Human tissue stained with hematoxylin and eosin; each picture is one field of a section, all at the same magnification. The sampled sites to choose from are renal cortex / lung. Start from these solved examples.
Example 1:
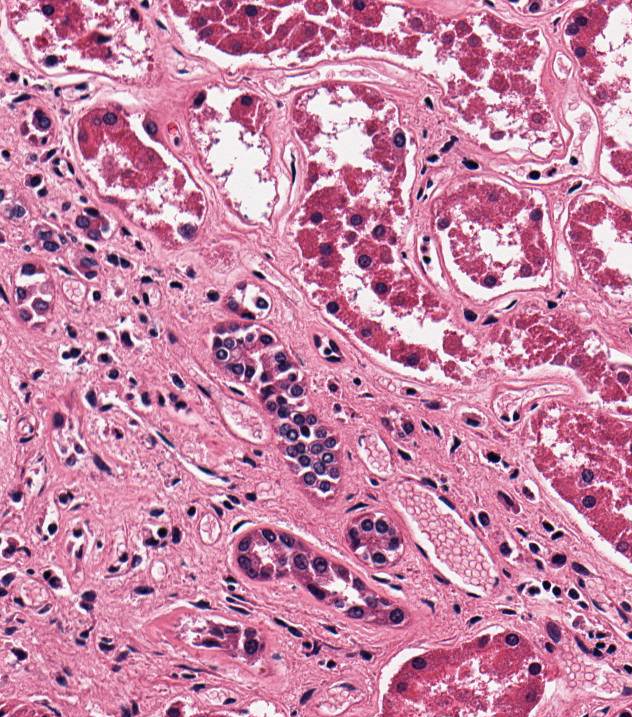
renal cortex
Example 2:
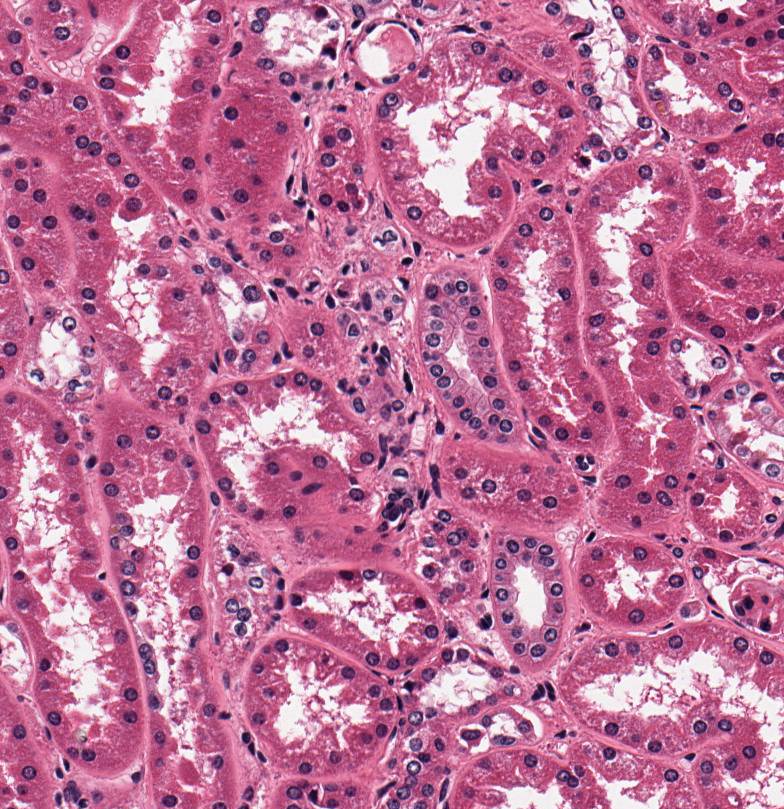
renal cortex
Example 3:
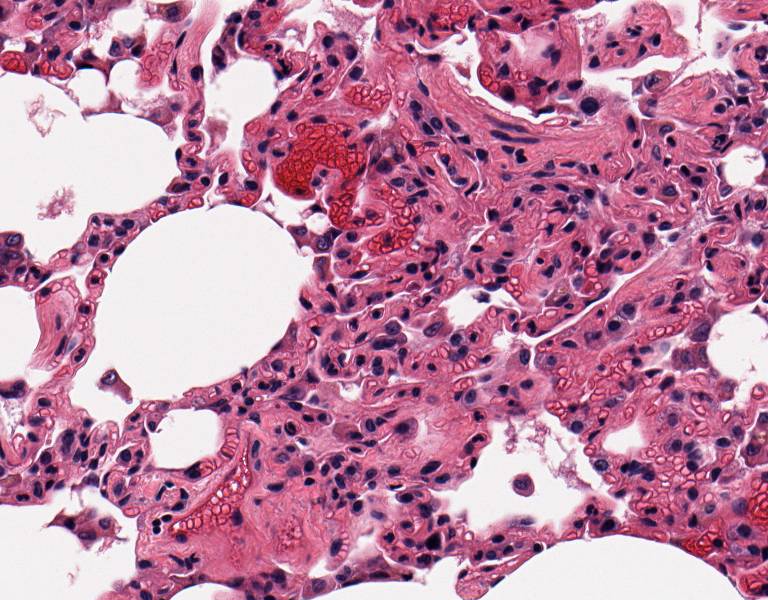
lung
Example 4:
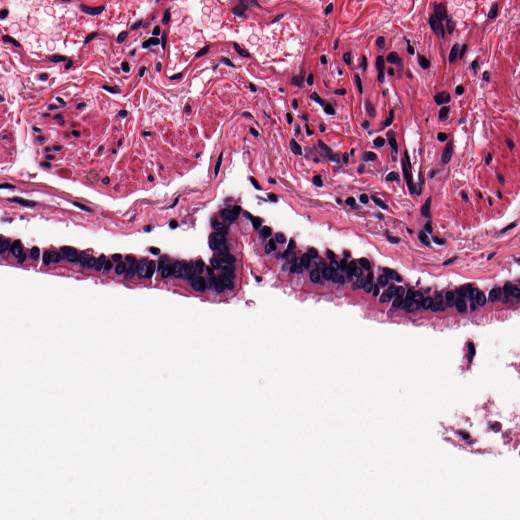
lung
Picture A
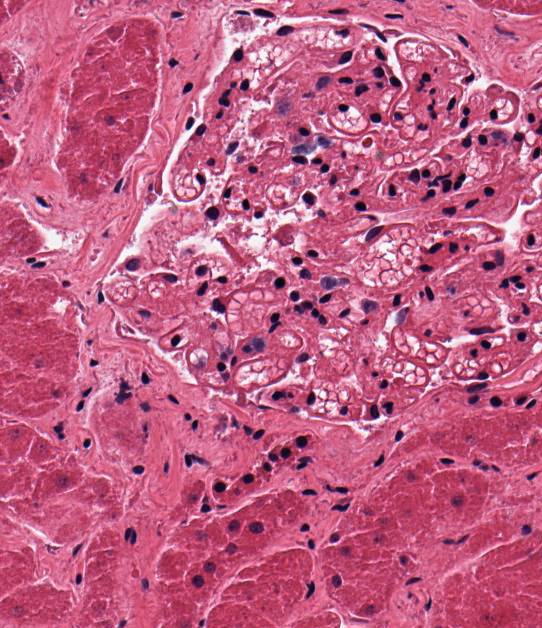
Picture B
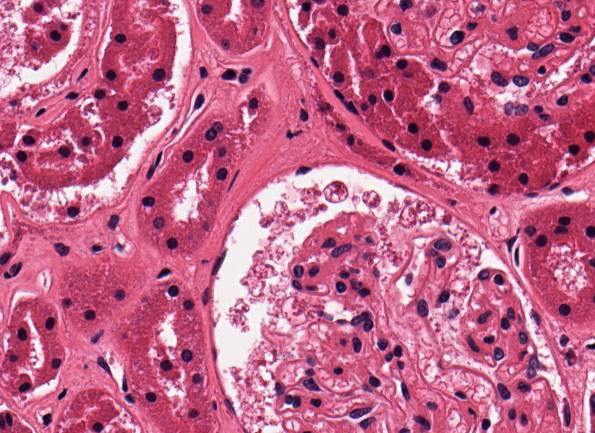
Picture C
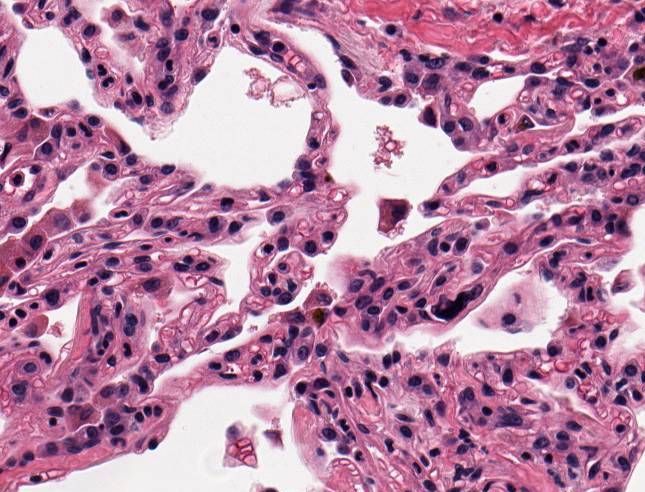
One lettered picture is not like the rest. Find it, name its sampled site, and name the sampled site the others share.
C (lung) is the exception; every other picture is renal cortex.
